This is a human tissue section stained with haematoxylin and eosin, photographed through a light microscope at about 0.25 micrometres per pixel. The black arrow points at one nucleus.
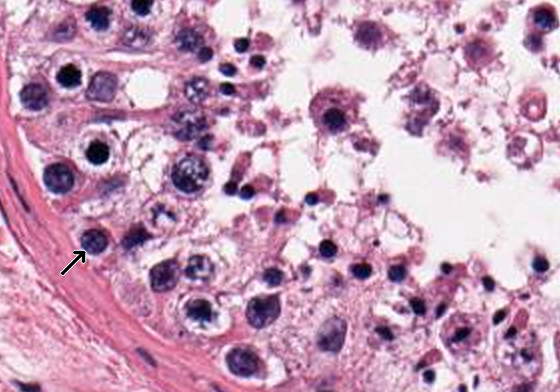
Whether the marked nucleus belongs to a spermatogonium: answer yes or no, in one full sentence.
Yes, the marked nucleus is one belonging to a spermatogonium.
